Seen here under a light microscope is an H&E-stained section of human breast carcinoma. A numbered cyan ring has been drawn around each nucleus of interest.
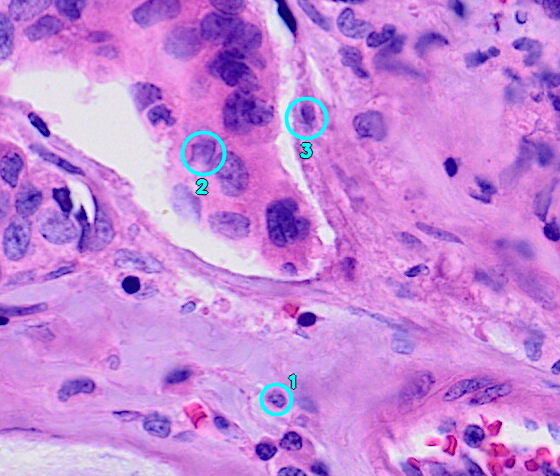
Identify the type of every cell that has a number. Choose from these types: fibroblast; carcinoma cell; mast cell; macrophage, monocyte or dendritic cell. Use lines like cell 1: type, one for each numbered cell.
cell 1: mast cell
cell 2: carcinoma cell
cell 3: fibroblast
